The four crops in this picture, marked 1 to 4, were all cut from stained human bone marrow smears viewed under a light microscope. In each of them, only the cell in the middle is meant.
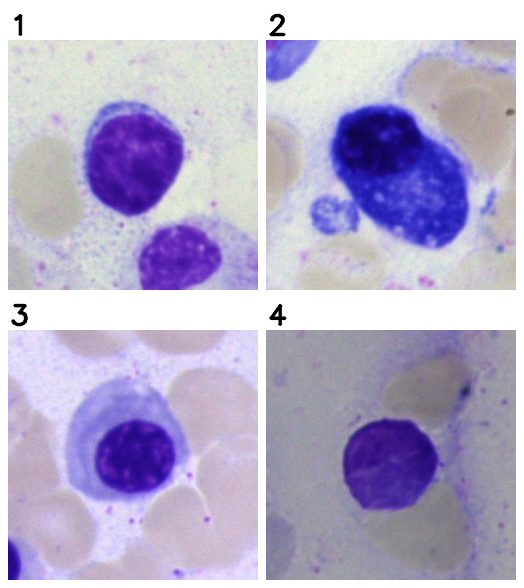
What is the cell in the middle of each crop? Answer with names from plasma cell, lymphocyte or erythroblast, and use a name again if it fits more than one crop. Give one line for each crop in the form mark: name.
1: lymphocyte
2: plasma cell
3: erythroblast
4: lymphocyte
